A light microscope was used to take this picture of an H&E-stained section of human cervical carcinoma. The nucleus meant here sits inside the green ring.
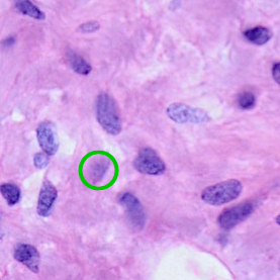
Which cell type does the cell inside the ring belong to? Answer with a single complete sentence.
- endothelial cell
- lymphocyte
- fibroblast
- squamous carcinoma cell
The identity of the cell inside the ring is that of a fibroblast.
